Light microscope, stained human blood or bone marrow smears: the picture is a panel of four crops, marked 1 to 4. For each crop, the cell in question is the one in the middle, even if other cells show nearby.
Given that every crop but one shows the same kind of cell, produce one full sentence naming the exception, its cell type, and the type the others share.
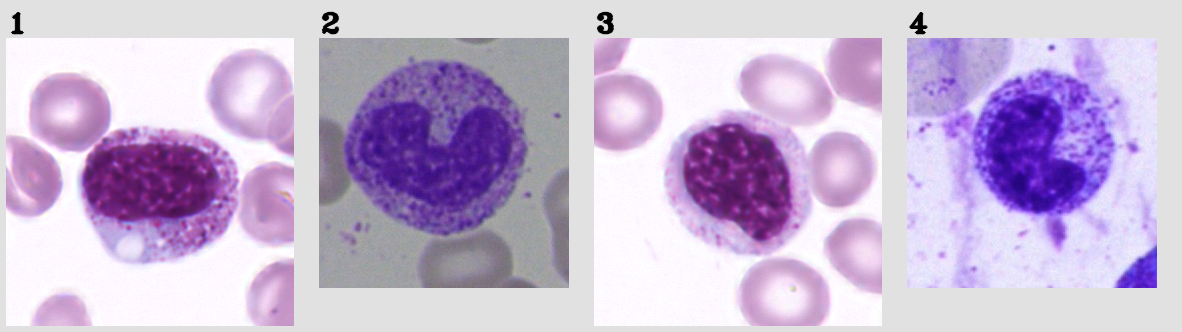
Seen in crop 2 is a band neutrophil, and seen in all other crops are metamyelocytes.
